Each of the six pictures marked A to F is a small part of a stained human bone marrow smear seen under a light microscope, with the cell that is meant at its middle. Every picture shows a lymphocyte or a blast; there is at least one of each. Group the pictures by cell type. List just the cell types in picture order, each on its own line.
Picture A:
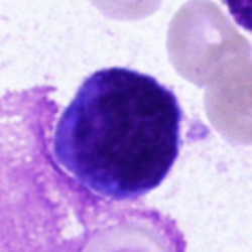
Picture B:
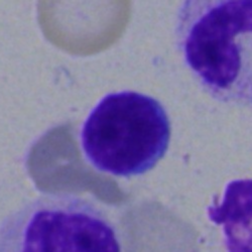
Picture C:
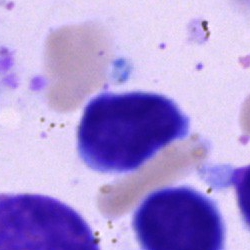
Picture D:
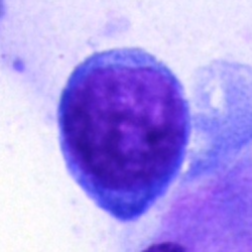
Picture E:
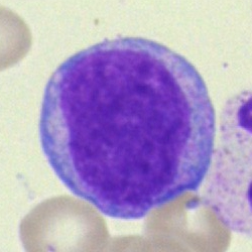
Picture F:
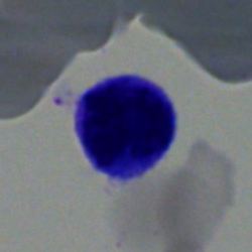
blast
lymphocyte
lymphocyte
blast
blast
lymphocyte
